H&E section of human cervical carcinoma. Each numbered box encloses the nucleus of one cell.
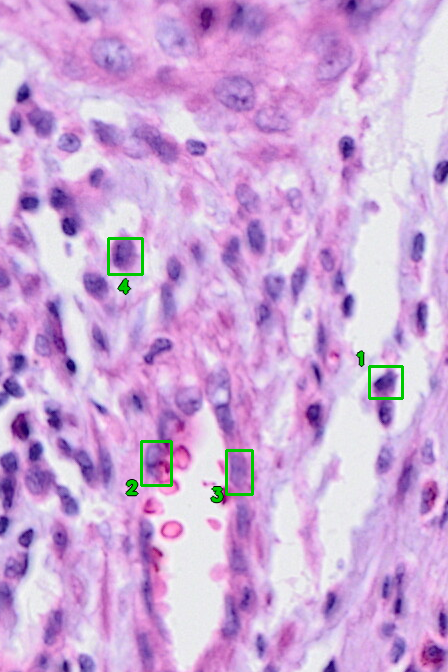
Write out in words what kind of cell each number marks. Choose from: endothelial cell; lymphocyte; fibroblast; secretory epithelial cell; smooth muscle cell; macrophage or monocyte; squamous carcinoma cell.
Cell 1 is a lymphocyte. Cells 2 and 3 are endothelial cells. Cell 4 is a macrophage or monocyte.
